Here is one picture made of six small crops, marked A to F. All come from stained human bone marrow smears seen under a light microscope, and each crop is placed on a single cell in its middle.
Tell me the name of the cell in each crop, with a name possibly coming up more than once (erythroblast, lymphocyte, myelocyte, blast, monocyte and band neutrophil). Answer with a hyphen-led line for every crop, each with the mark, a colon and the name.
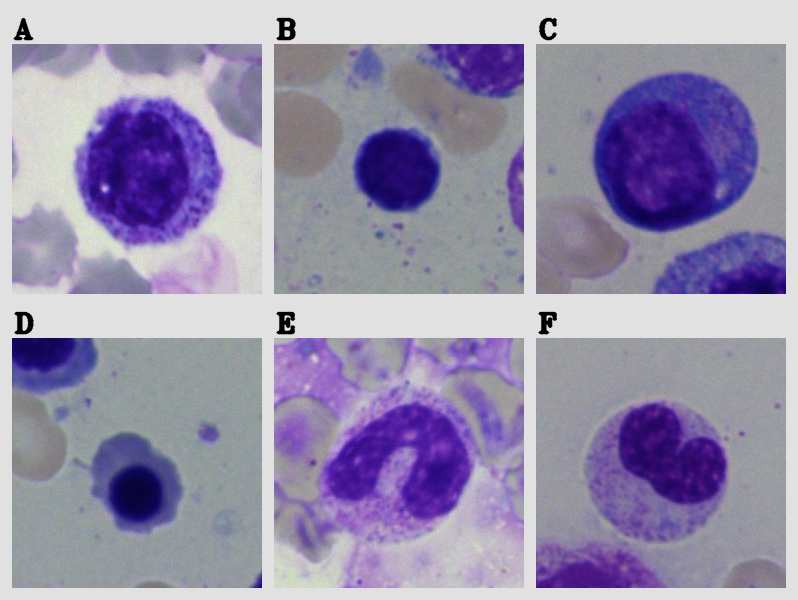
- A: myelocyte
- B: lymphocyte
- C: blast
- D: erythroblast
- E: band neutrophil
- F: band neutrophil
